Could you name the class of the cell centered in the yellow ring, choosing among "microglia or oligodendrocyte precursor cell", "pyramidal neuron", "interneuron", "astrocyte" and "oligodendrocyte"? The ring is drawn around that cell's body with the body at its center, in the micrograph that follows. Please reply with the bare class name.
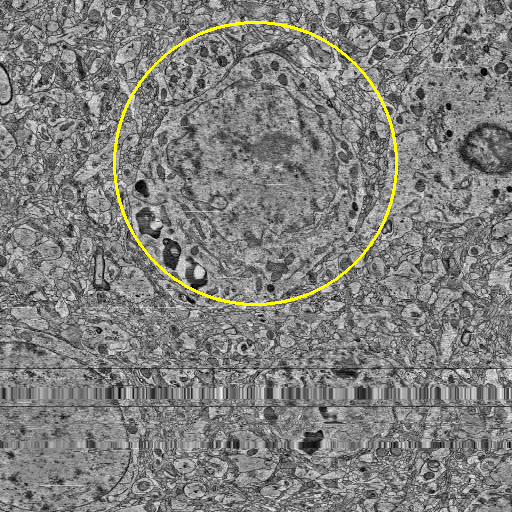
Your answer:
interneuron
